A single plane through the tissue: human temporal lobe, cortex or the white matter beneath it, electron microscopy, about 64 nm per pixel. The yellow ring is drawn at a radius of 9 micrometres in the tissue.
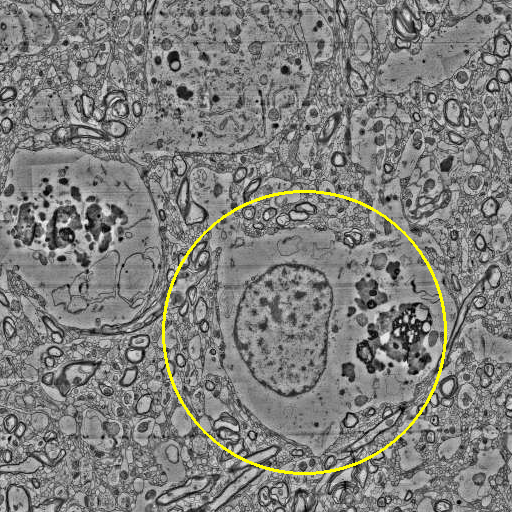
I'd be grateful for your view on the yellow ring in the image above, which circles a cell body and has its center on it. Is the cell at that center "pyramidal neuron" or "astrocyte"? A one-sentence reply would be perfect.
The cell at the center of the yellow ring is an astrocyte.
